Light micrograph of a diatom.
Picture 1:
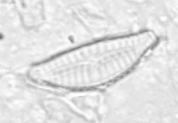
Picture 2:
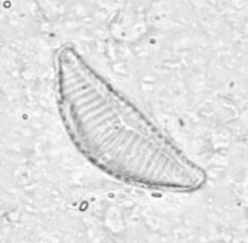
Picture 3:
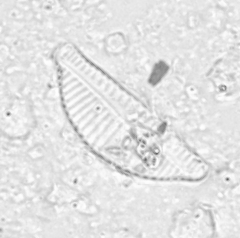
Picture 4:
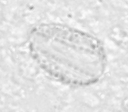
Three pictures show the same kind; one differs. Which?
Picture 4: Amphora, while the others are Encyonema.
